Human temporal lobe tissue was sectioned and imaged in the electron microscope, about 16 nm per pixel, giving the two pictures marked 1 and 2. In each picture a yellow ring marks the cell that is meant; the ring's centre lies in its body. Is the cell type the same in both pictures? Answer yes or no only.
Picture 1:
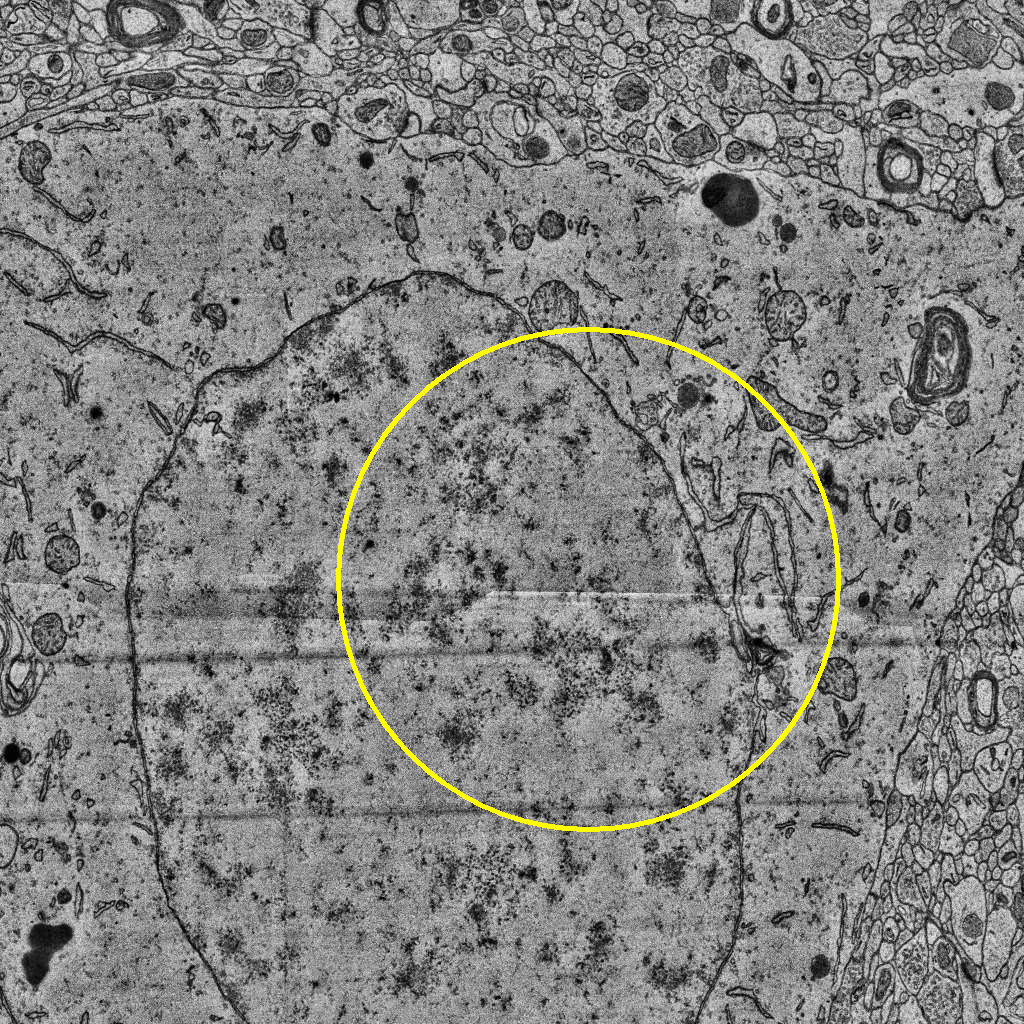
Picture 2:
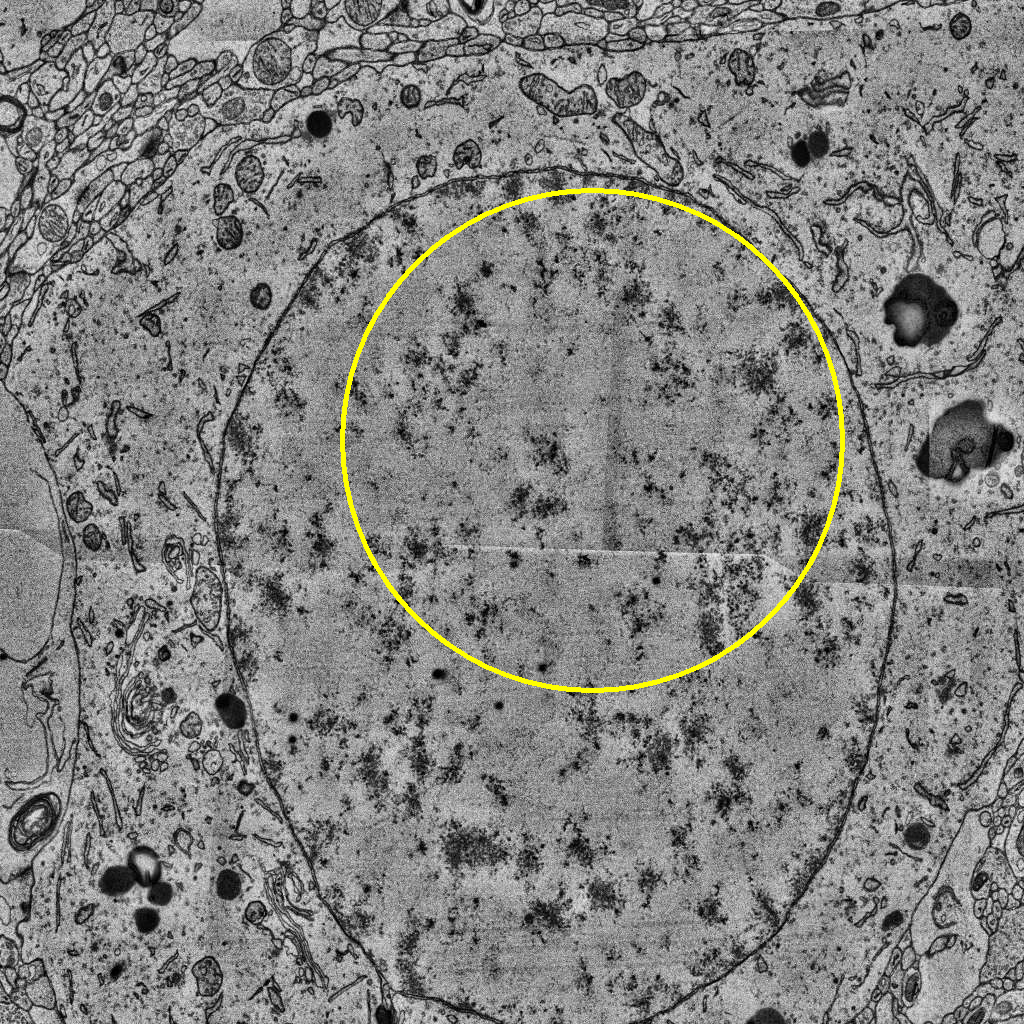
yes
